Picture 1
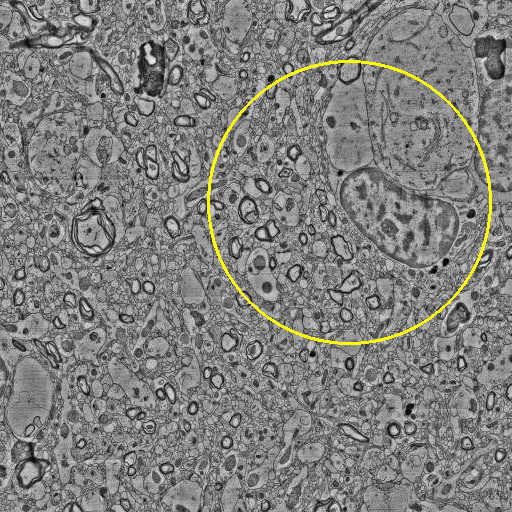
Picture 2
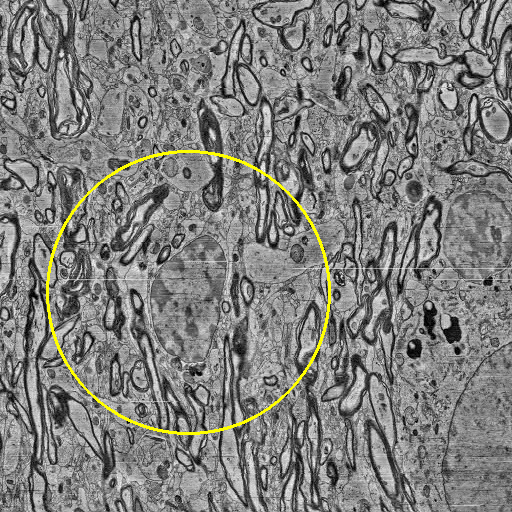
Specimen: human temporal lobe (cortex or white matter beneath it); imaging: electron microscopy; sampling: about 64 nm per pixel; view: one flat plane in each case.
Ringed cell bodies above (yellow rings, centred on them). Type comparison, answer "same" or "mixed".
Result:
same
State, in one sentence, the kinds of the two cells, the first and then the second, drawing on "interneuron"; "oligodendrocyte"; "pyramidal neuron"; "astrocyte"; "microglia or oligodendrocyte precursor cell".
In both pictures the ring is centred on a microglial cell or oligodendrocyte precursor cell.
